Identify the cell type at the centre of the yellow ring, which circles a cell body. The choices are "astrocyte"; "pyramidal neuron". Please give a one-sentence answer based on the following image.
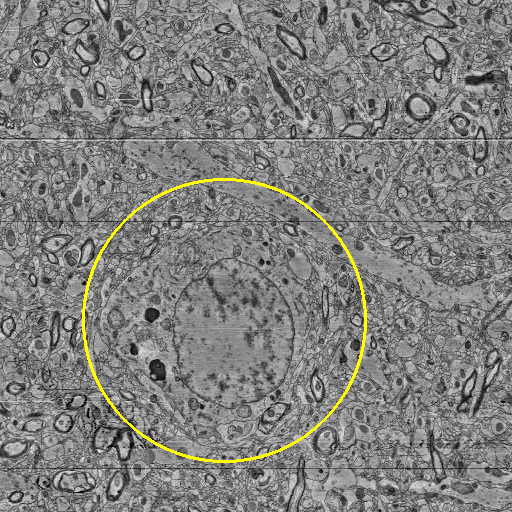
The cell marked by the ring is a pyramidal neuron.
